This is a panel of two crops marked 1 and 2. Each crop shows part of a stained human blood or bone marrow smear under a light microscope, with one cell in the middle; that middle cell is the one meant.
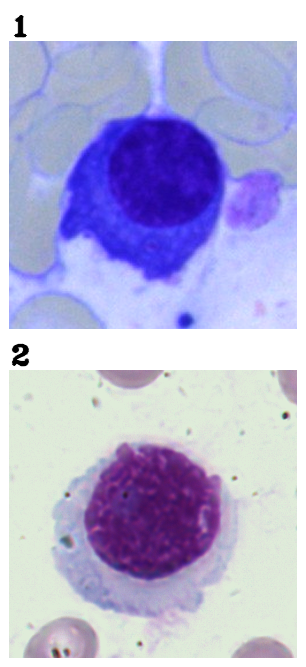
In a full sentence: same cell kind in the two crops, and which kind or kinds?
Yes, the cells of interest in both crops are plasma cells.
